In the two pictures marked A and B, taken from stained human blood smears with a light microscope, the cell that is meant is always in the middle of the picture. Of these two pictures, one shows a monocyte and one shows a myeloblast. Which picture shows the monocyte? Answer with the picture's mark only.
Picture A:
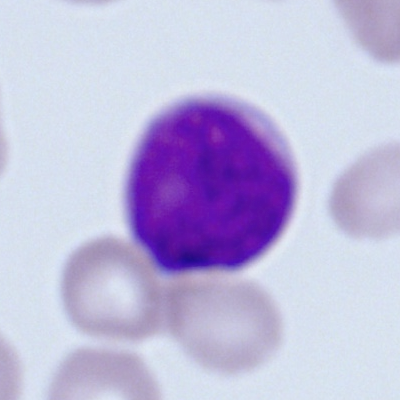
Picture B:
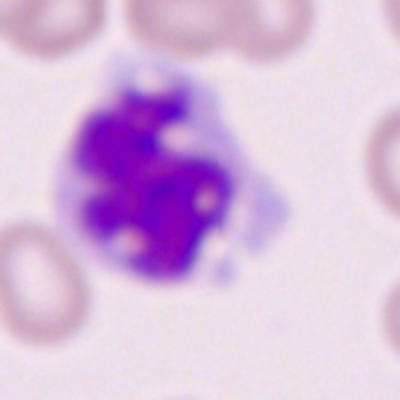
B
